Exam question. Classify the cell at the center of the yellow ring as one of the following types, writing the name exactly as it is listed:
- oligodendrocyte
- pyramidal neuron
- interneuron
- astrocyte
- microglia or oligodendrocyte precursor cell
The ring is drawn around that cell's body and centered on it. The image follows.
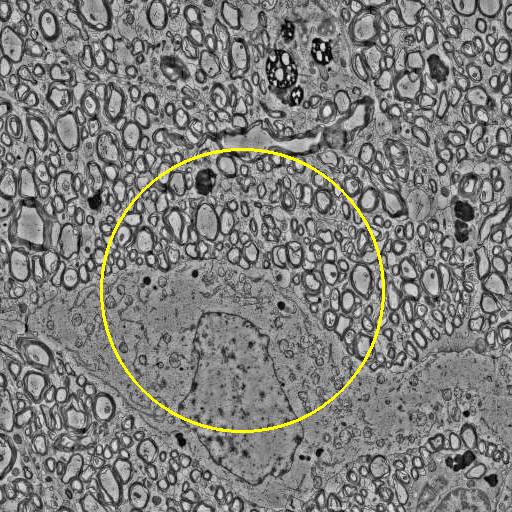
pyramidal neuron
